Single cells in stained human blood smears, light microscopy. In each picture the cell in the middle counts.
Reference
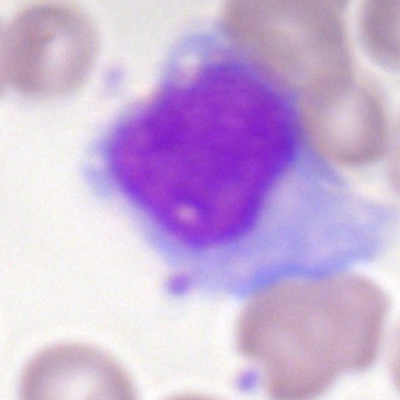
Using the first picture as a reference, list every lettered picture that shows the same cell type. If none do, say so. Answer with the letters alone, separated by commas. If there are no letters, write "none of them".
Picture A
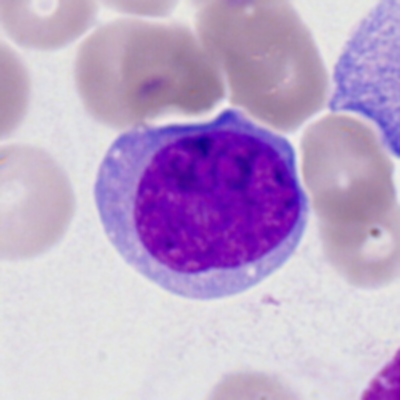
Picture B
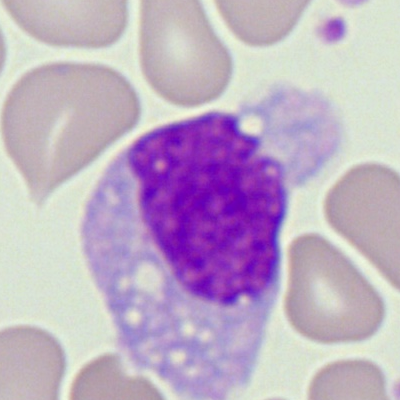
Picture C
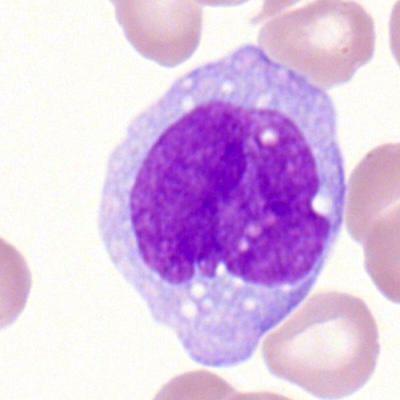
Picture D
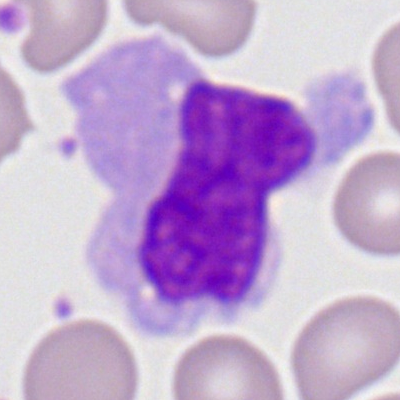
B, C, D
